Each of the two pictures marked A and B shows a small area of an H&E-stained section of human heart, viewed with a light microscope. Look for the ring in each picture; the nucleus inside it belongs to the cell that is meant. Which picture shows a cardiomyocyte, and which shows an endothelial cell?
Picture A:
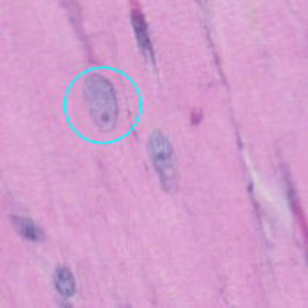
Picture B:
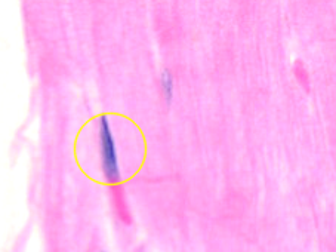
A: cardiomyocyte
B: endothelial cell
